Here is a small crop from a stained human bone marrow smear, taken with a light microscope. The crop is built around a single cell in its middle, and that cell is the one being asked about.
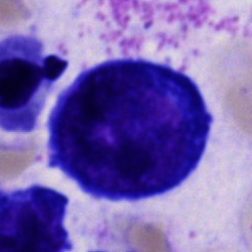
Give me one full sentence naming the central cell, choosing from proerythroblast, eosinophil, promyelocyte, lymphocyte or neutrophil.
In the centre of this crop there is a proerythroblast.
